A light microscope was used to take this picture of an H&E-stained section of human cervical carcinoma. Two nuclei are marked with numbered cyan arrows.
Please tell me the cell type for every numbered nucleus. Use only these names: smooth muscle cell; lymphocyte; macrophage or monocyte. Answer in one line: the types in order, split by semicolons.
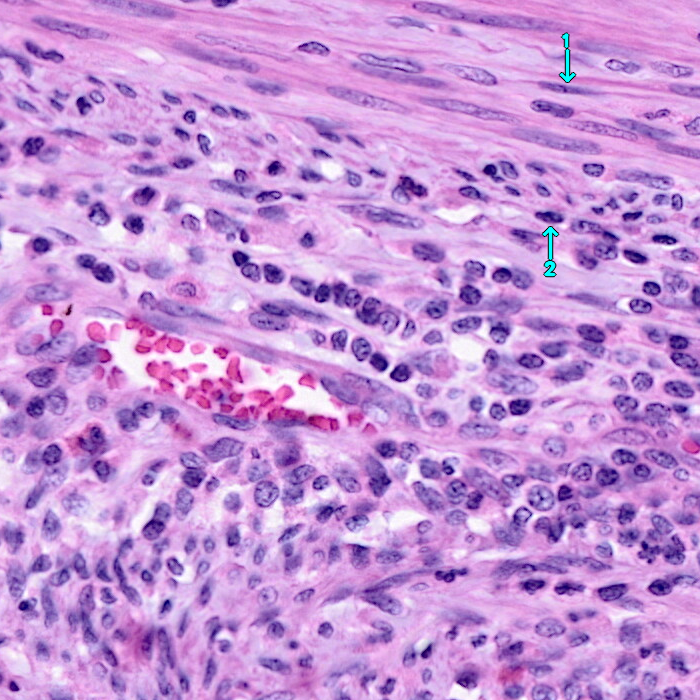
smooth muscle cell; lymphocyte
